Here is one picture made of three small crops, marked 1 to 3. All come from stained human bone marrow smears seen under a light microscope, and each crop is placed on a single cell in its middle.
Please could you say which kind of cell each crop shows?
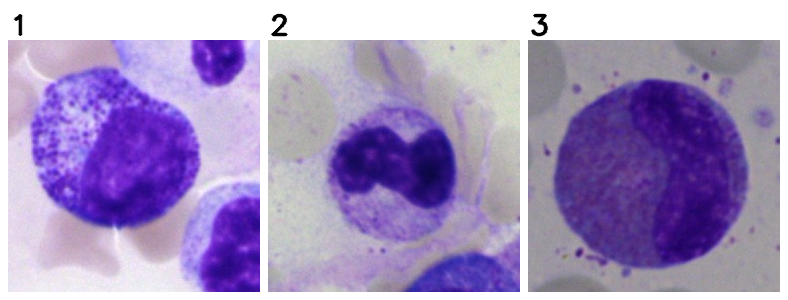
1: promyelocyte
2: band neutrophil
3: eosinophil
